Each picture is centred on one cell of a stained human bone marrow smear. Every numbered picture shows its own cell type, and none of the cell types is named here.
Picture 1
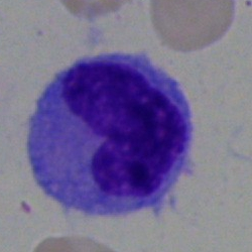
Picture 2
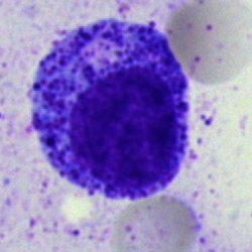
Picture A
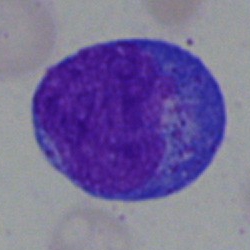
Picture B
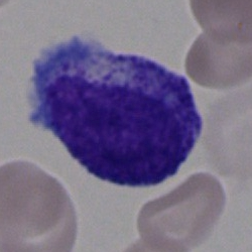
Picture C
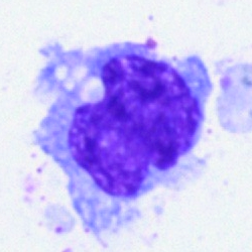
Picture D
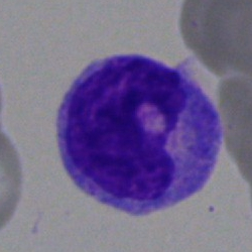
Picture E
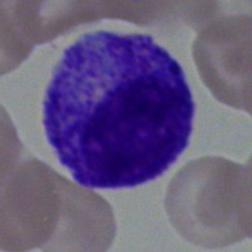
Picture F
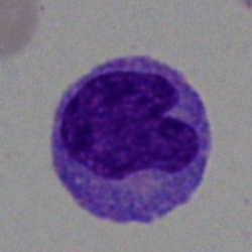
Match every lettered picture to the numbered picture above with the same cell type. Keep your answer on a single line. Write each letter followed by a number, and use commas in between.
A 2, B 2, C 1, D 1, E 2, F 1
